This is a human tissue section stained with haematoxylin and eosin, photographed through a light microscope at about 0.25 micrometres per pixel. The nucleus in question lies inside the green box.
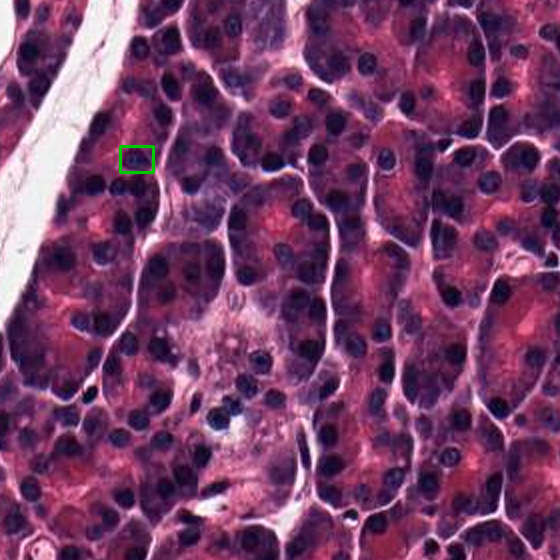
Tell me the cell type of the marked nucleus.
pancreatic acinar cell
